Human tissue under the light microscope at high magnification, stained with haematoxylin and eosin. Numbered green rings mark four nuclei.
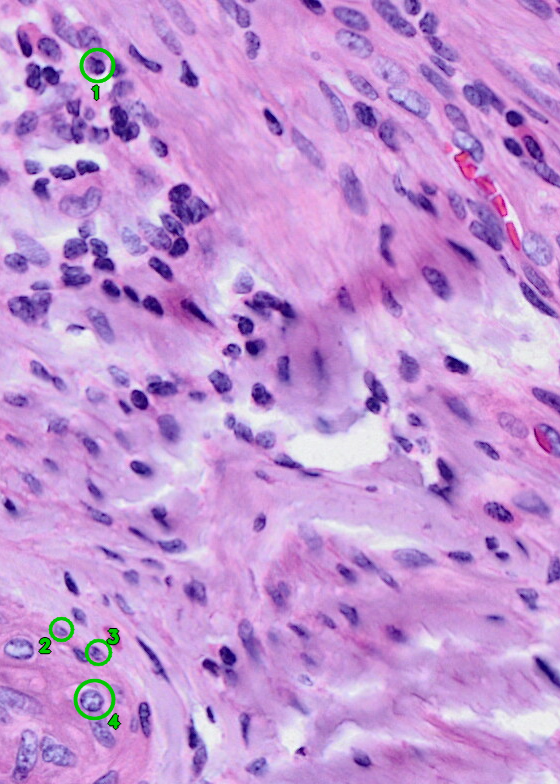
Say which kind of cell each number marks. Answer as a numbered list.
1. lymphocyte
2. smooth muscle cell
3. smooth muscle cell
4. smooth muscle cell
